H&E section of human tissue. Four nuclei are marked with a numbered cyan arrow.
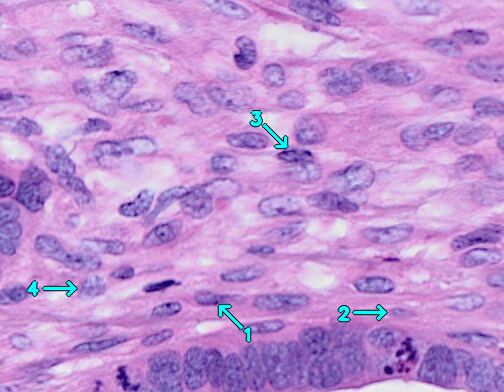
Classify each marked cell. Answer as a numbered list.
1. fibroblast
2. fibroblast
3. macrophage or monocyte
4. fibroblast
